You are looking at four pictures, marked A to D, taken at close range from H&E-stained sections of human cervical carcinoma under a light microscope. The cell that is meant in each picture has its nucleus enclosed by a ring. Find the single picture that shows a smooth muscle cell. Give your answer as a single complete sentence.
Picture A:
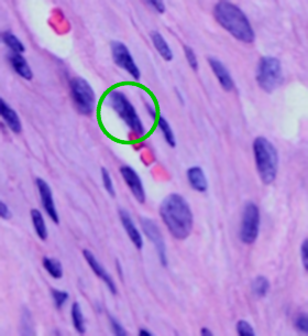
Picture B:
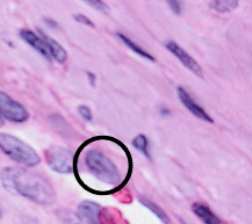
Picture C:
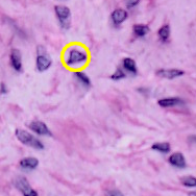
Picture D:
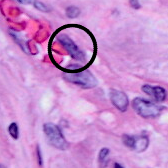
The cell in picture C is the smooth muscle cell.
